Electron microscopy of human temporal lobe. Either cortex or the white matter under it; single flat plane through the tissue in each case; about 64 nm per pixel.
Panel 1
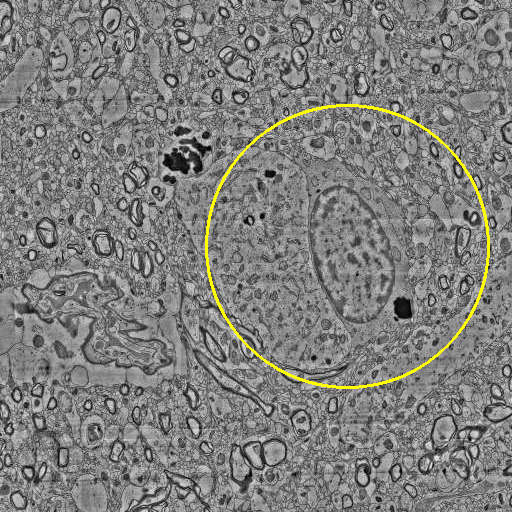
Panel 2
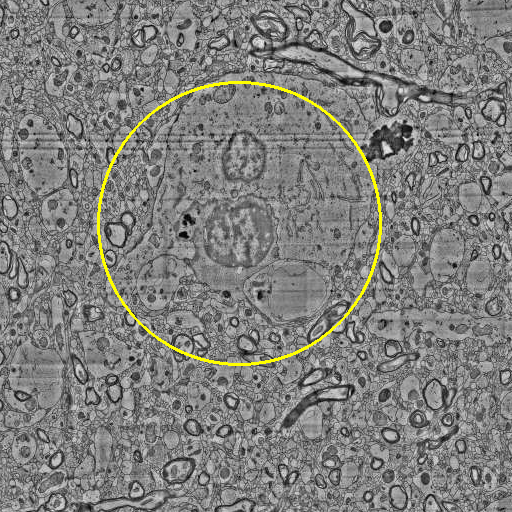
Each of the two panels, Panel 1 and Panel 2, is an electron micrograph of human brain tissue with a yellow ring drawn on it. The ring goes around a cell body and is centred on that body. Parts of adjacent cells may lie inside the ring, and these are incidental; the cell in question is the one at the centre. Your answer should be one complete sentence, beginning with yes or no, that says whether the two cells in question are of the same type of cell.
Yes, the two cells are of the same type.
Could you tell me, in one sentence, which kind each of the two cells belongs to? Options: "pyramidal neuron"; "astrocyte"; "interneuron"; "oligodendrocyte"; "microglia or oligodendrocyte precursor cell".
Each of the two rings surrounds an oligodendrocyte.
